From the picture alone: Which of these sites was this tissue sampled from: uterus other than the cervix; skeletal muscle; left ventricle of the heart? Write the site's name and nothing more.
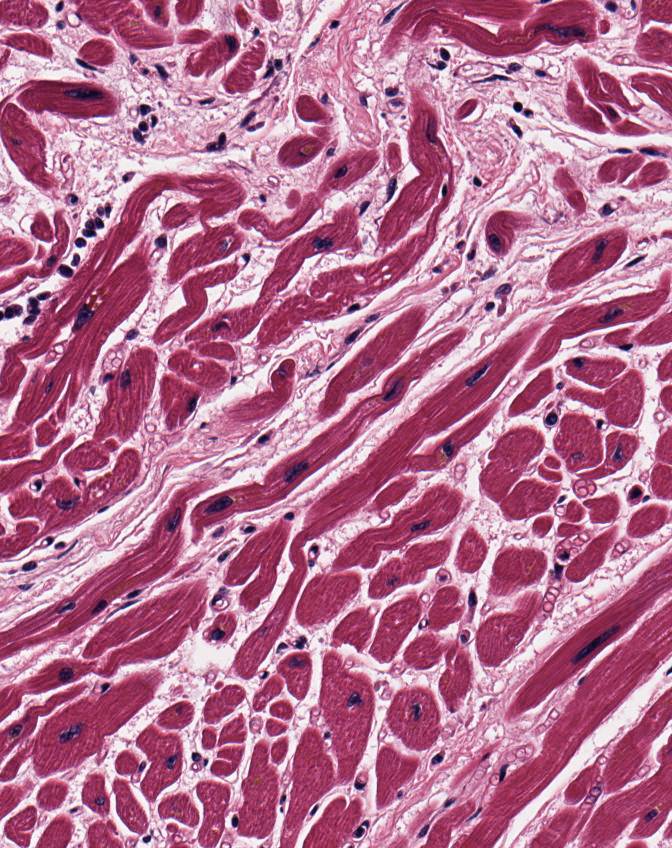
left ventricle of the heart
